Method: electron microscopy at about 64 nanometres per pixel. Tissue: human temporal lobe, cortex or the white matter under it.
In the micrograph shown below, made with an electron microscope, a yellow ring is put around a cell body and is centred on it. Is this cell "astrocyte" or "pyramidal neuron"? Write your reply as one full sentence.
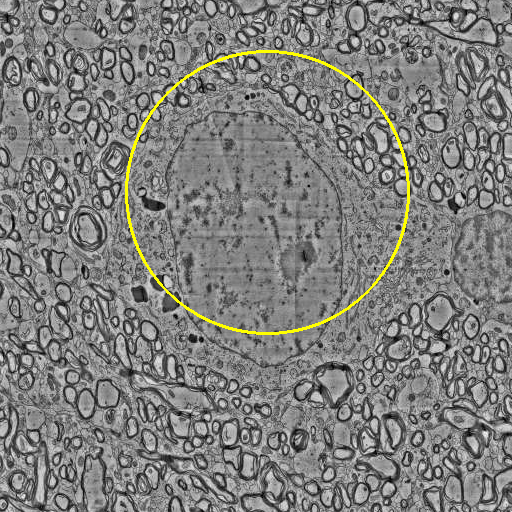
In the micrograph, a pyramidal neuron is the cell at the centre of the yellow ring.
